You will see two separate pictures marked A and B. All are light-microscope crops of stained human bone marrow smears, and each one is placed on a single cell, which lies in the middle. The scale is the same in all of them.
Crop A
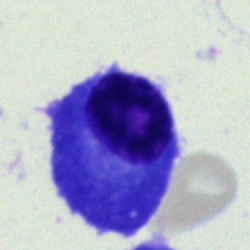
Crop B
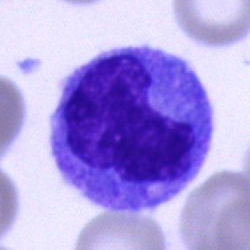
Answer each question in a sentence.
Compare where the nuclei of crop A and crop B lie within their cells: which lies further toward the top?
Seen within its cell, the nucleus in crop A lies further toward the top.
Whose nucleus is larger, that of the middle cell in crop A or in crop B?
It is the nucleus in crop B, about 2 times as large in area as the one in crop A.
